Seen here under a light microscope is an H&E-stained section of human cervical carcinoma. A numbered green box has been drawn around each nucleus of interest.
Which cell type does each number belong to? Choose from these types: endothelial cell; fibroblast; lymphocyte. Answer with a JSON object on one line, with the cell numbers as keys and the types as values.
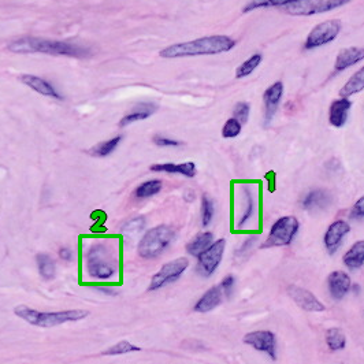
{"1": "fibroblast", "2": "endothelial cell"}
